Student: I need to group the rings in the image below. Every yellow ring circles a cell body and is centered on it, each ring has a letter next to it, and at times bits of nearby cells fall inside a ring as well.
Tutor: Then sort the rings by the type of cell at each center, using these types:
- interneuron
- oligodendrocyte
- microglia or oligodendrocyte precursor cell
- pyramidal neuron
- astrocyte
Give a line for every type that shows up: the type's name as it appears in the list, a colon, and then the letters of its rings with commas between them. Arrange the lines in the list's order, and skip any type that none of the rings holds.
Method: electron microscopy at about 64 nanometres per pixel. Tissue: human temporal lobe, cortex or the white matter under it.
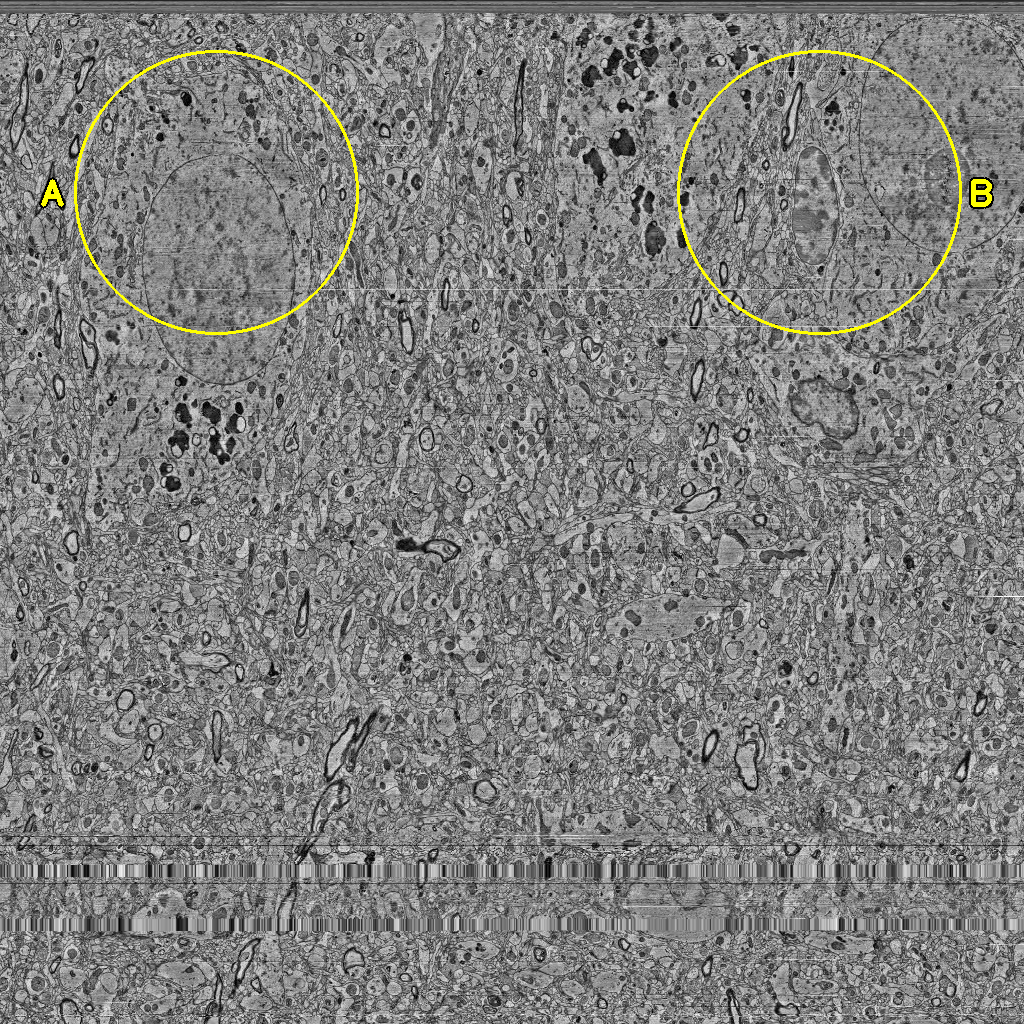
microglia or oligodendrocyte precursor cell: B
pyramidal neuron: A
